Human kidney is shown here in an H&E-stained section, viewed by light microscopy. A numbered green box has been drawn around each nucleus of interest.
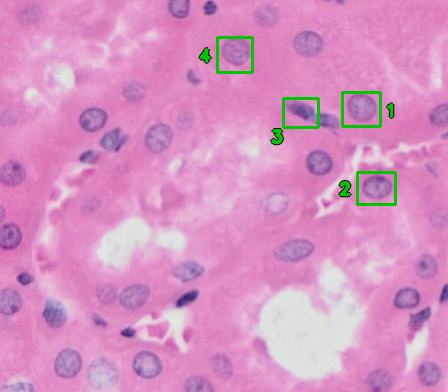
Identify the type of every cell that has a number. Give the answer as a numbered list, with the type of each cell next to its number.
1. proximal tubule cell
2. proximal tubule cell
3. endothelial cell
4. proximal tubule cell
